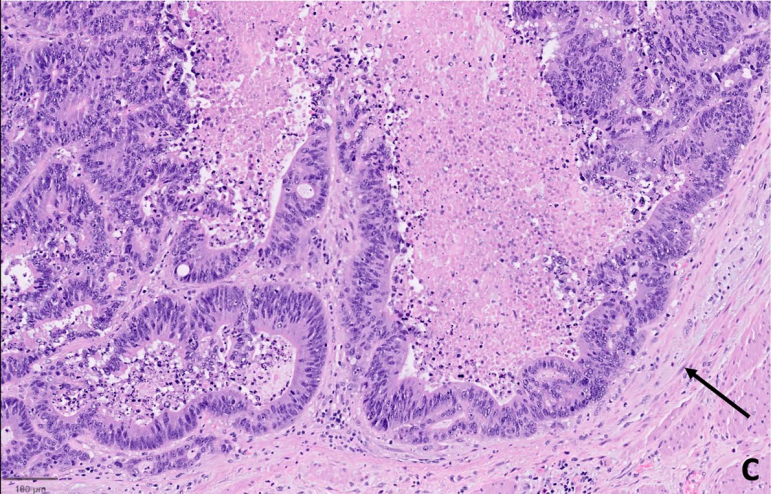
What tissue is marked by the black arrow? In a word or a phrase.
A: Peritumoral stroma.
